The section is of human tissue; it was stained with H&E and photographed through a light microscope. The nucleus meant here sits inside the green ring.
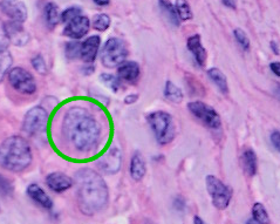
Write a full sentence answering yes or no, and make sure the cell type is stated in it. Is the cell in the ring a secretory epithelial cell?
No, the cell in the ring is simply an endothelial cell rather than a secretory epithelial cell.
